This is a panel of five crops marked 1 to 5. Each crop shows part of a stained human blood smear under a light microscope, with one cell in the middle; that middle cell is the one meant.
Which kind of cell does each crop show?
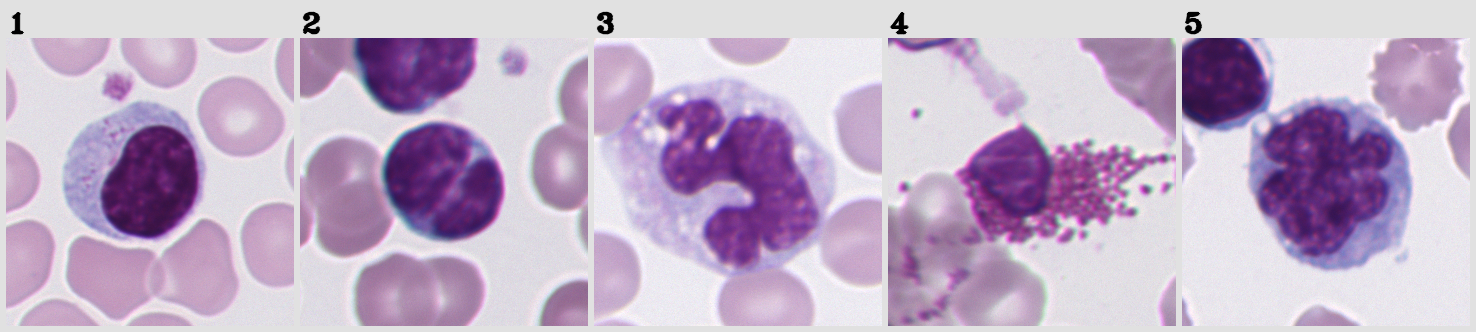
1: large granular lymphocyte
2: typical lymphocyte
3: monocyte
4: eosinophil
5: monocyte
